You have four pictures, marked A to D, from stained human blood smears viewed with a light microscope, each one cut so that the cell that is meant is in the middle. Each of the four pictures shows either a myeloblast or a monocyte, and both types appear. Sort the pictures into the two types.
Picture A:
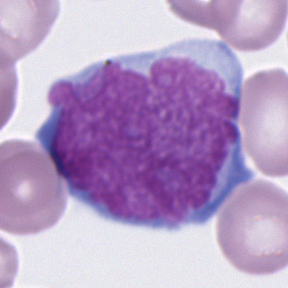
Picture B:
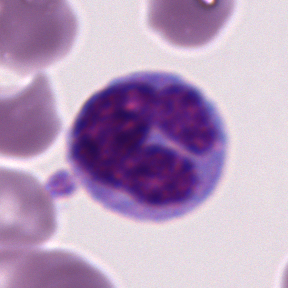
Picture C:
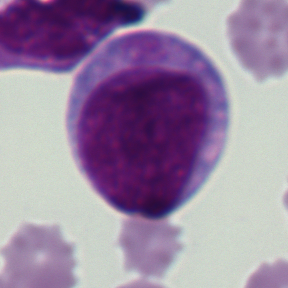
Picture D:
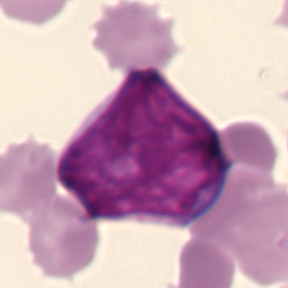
A: myeloblast
B: monocyte
C: myeloblast
D: myeloblast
